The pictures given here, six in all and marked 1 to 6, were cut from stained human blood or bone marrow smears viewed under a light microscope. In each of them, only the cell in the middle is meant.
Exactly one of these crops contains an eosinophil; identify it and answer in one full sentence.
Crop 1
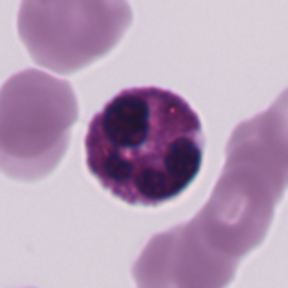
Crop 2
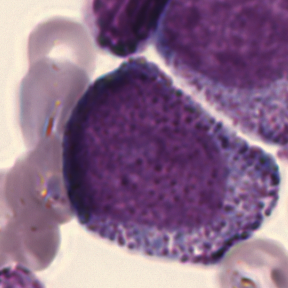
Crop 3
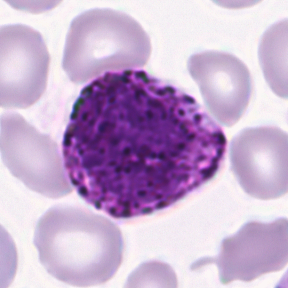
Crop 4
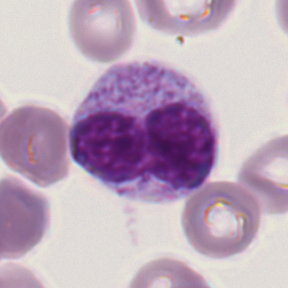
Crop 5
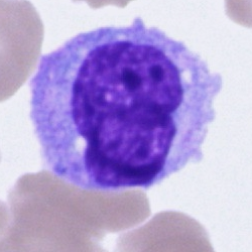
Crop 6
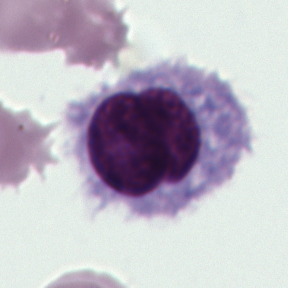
Crop 1 is the crop featuring an eosinophil at its center.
